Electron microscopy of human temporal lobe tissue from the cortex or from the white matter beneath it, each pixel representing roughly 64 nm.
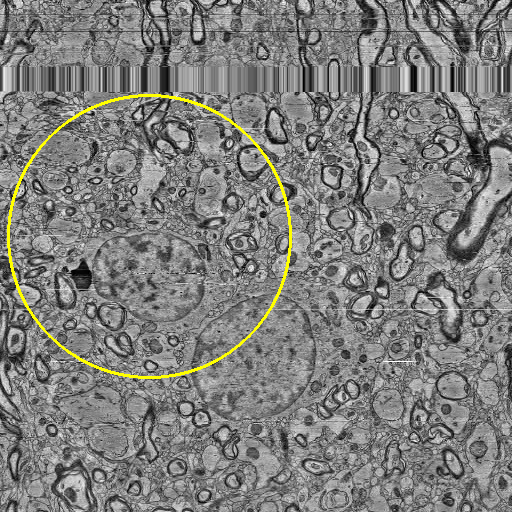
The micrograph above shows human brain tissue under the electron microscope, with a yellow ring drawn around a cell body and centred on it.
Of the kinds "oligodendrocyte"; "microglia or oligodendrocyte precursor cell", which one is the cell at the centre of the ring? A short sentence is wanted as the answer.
The one at the centre of the ring is an oligodendrocyte.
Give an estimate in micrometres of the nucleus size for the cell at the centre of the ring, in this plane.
The nucleus works out at approximately 7 by 6 micrometres in this plane.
